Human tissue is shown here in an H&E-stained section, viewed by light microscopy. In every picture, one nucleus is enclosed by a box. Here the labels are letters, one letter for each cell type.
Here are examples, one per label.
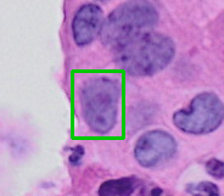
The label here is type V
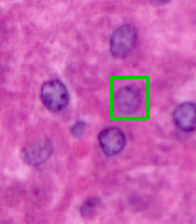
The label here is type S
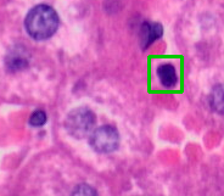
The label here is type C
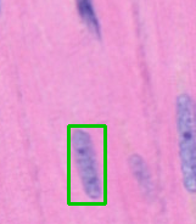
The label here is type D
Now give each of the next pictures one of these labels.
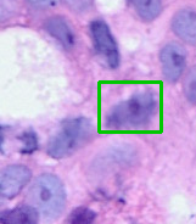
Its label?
type V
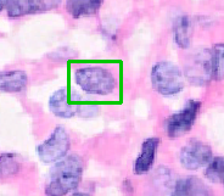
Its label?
type V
